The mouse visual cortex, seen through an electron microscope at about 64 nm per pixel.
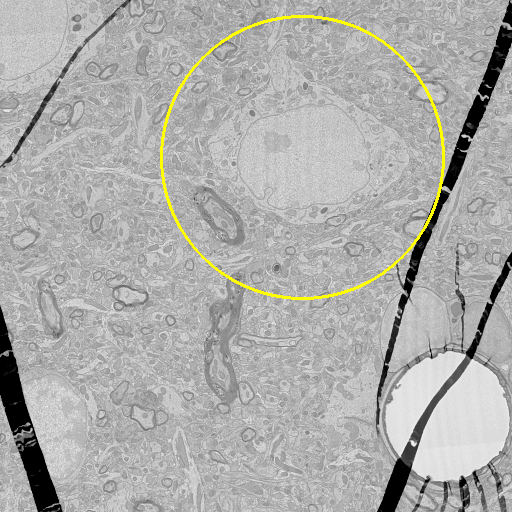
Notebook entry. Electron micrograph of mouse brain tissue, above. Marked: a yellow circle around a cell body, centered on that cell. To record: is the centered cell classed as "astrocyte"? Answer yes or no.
No, the centered cell belongs to another kind.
